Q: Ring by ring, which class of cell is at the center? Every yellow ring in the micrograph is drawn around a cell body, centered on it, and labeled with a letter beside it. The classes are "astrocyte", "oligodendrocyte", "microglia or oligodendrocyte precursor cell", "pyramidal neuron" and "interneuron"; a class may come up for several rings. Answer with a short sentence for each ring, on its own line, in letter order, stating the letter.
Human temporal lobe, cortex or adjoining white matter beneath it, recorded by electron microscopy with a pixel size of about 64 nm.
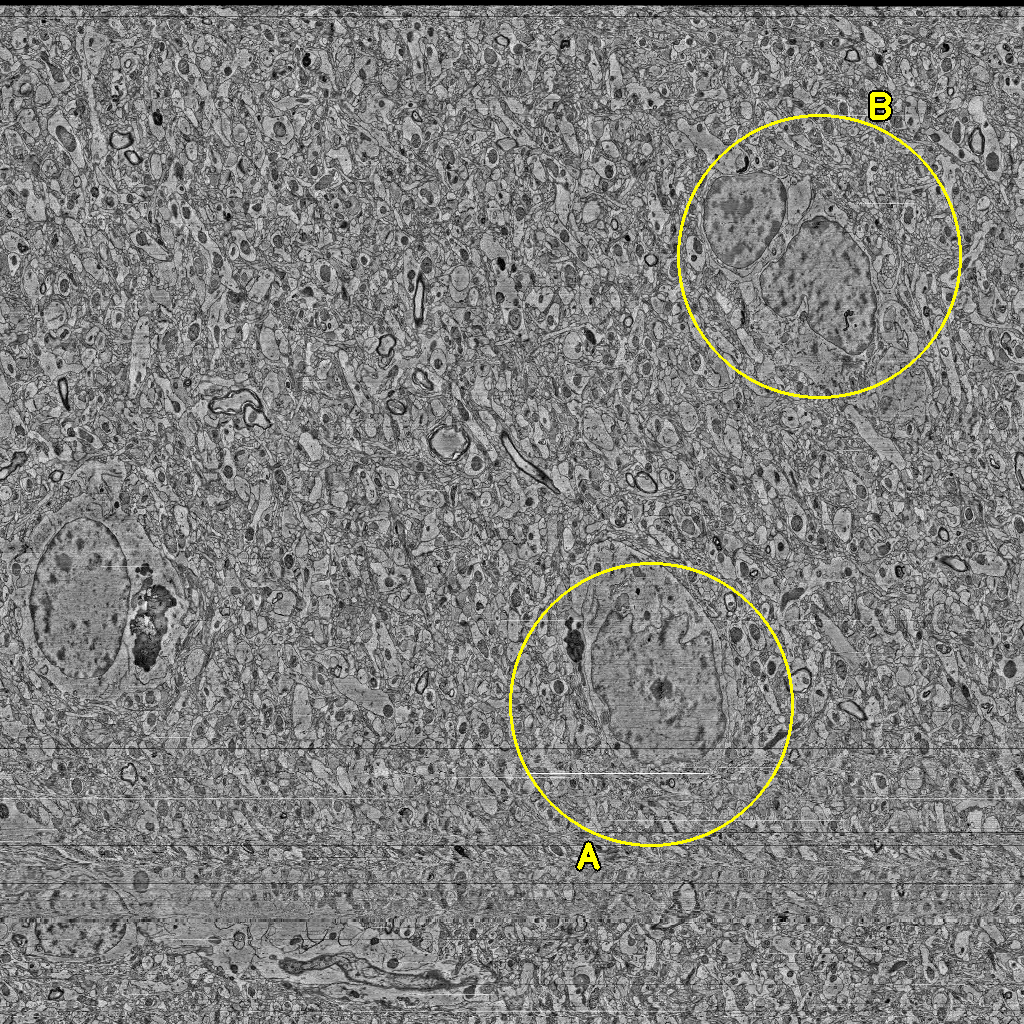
Ring A holds an interneuron at its center.
Ring B holds a microglial cell or oligodendrocyte precursor cell at its center.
